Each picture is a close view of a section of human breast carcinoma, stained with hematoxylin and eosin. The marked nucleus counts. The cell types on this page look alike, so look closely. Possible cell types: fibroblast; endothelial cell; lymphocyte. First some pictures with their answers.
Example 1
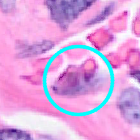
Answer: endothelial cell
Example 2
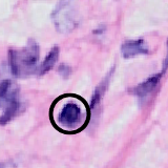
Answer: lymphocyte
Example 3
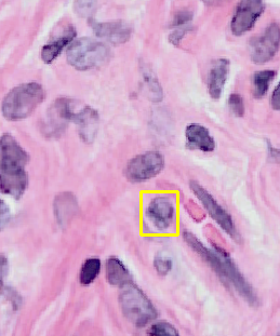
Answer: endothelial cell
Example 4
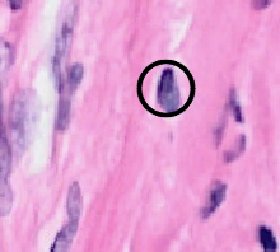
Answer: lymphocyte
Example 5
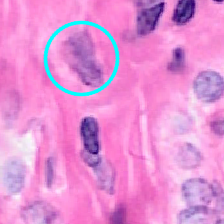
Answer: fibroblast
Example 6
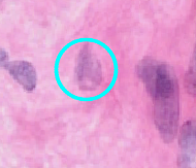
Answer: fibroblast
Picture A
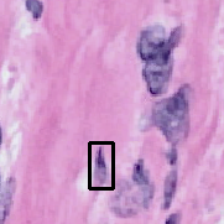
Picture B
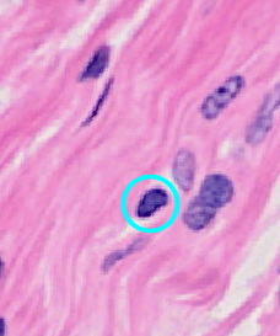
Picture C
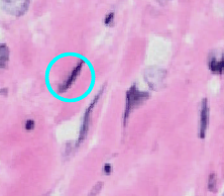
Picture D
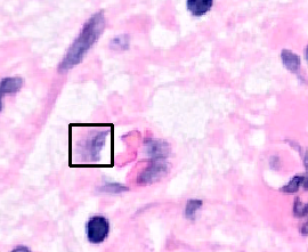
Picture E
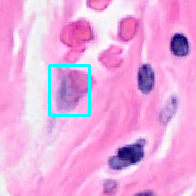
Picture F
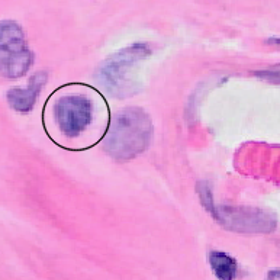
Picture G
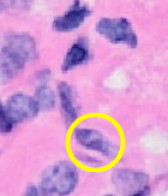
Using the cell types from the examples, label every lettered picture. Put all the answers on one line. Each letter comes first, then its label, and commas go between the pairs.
A fibroblast, B lymphocyte, C fibroblast, D endothelial cell, E endothelial cell, F lymphocyte, G endothelial cell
